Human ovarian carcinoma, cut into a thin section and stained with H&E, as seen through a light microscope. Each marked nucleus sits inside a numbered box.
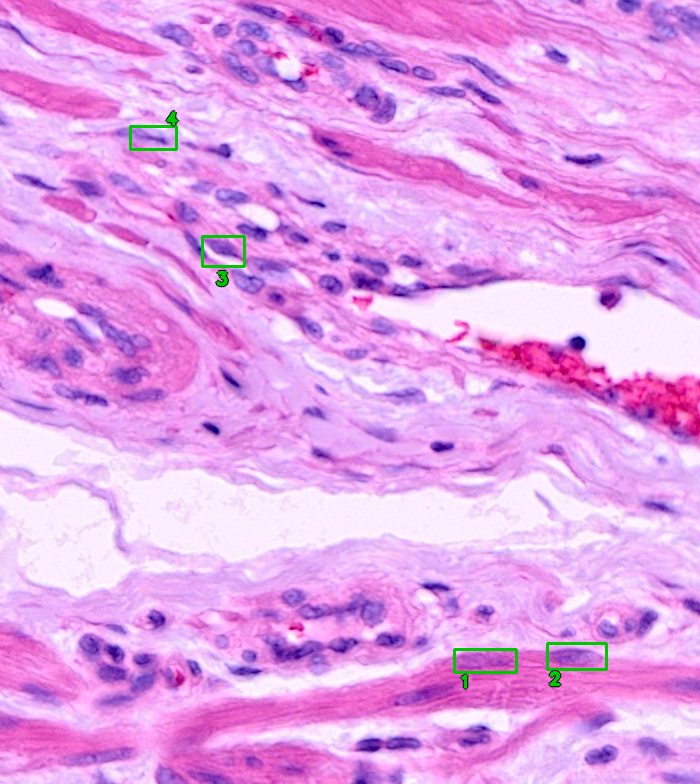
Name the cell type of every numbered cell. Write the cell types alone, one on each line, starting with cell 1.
smooth muscle cell
smooth muscle cell
endothelial cell
fibroblast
